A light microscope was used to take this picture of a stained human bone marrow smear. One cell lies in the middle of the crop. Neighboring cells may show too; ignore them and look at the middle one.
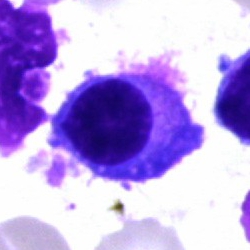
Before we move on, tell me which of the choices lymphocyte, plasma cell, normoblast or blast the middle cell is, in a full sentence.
The cell in the middle of the field of view is a plasma cell.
